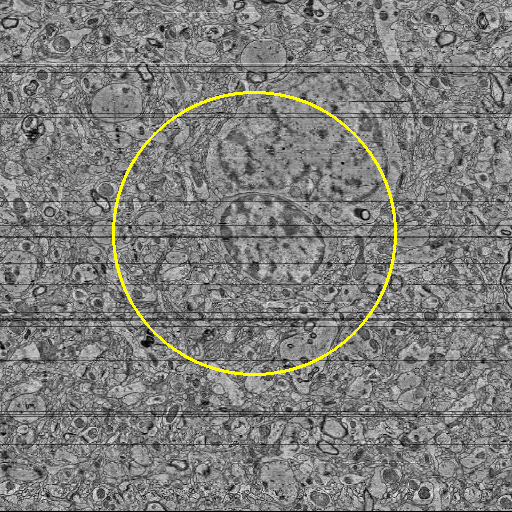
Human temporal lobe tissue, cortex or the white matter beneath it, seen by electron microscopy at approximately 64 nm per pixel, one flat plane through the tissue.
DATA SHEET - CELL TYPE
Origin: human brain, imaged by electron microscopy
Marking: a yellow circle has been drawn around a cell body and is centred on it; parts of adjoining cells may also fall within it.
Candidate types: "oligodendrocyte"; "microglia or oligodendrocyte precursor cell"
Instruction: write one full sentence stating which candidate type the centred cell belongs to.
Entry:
The cell body at the centre of the yellow ring in this micrograph belongs to an oligodendrocyte.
